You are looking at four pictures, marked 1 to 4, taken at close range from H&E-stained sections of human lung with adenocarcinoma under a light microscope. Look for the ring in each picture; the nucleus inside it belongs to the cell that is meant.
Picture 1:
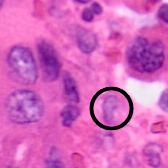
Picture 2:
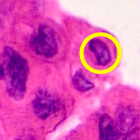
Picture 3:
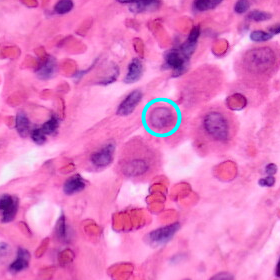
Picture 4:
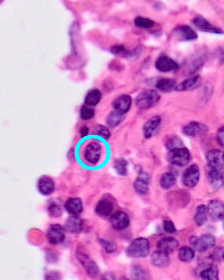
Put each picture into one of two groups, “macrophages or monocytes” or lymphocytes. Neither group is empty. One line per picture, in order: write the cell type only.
macrophage or monocyte
macrophage or monocyte
macrophage or monocyte
lymphocyte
